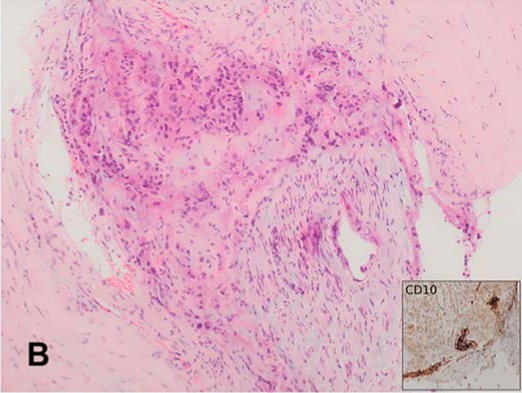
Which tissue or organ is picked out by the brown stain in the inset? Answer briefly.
Endometrial stroma.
